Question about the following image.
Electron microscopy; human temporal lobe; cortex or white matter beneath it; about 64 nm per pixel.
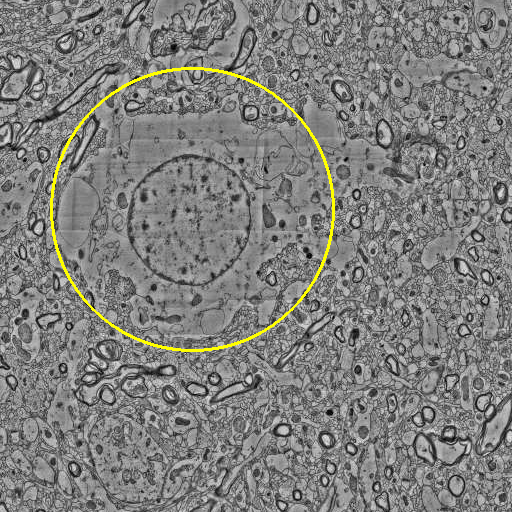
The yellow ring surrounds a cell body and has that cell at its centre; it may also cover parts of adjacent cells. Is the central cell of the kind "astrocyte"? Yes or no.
Yes, it is of that kind.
